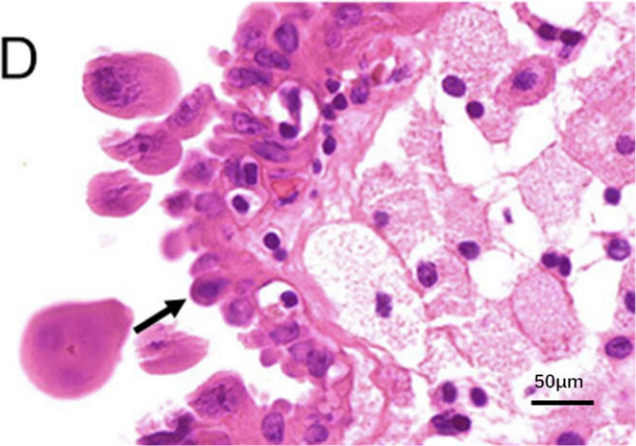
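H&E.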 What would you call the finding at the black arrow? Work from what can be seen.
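The arrowed cell has its nucleus bulging at the apical surface. Neighbouring cells protrude like rounded knobs from the lining.
Hobnail features.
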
